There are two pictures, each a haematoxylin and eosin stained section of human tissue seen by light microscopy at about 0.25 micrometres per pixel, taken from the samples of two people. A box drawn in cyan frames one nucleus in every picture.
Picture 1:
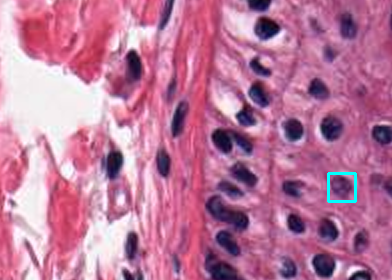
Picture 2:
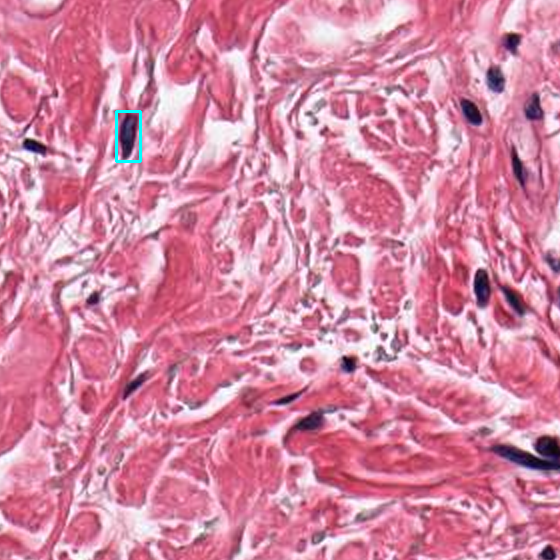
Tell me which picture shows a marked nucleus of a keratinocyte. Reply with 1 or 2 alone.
1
